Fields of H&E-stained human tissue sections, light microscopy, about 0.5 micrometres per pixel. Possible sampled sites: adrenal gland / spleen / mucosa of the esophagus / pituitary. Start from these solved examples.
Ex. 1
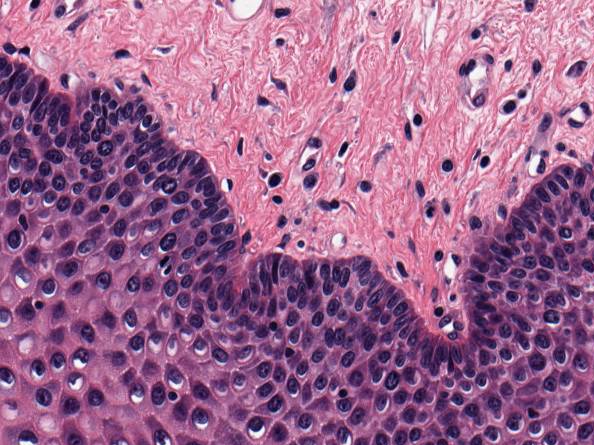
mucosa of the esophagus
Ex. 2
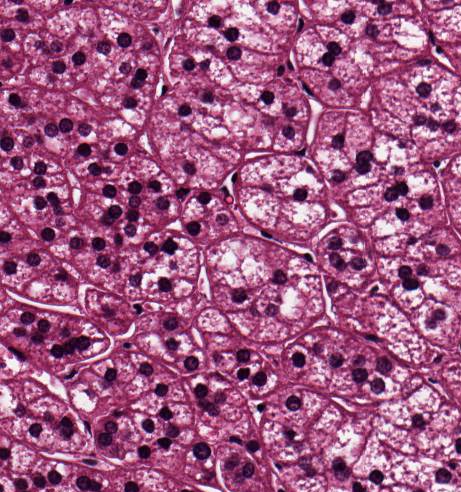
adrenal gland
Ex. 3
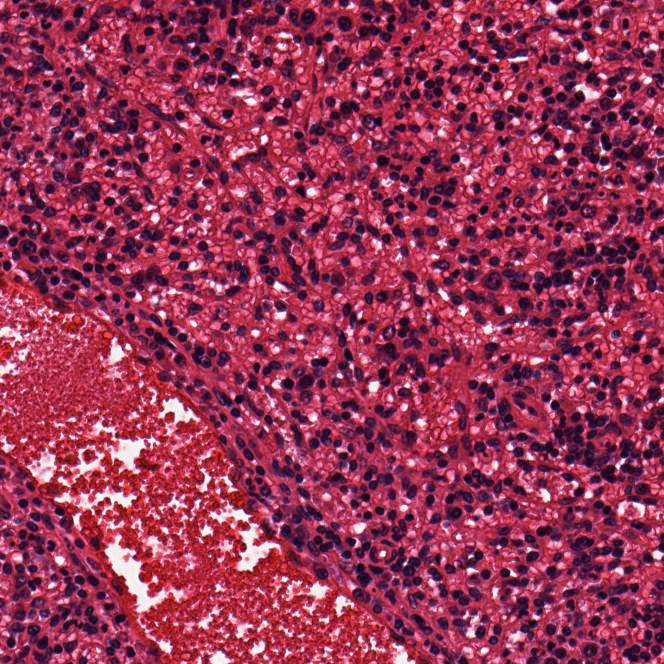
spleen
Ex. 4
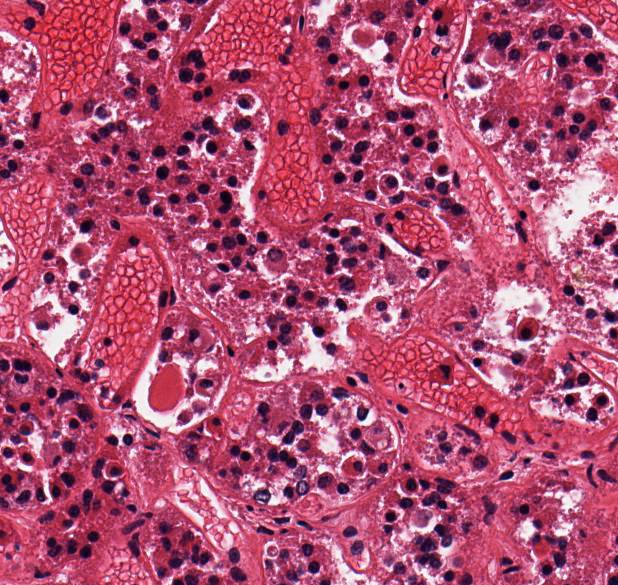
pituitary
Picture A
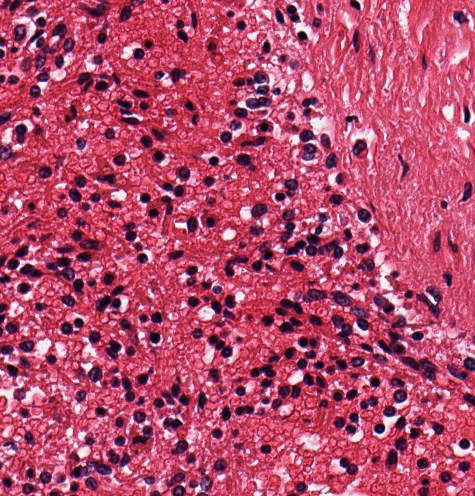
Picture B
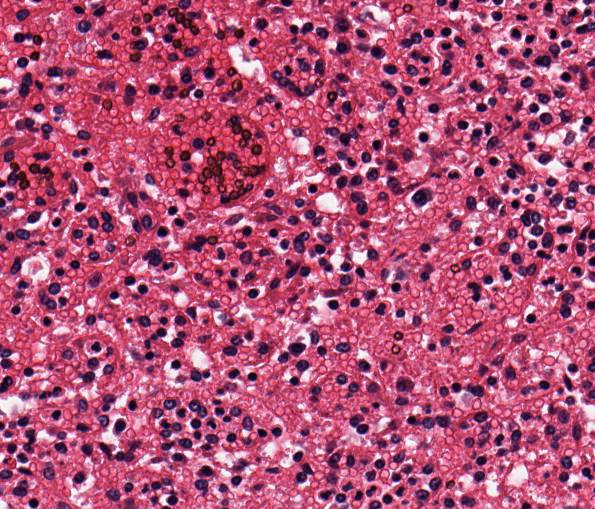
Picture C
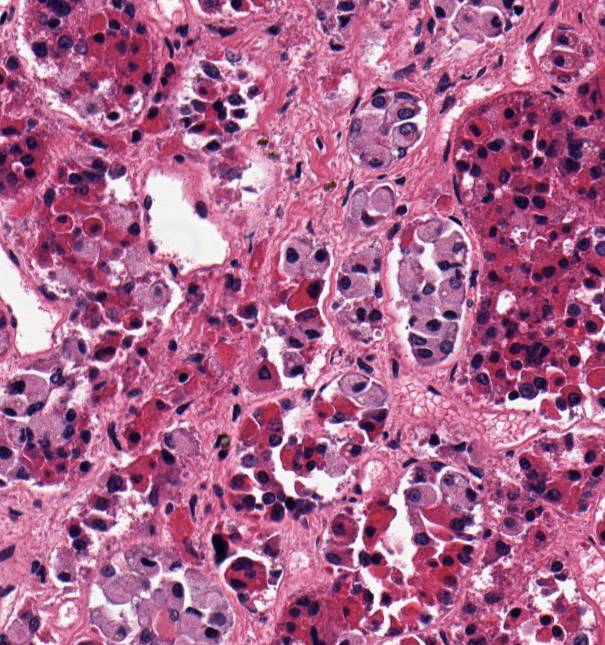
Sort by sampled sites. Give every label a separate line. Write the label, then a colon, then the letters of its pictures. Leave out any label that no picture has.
spleen: A, B
pituitary: C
